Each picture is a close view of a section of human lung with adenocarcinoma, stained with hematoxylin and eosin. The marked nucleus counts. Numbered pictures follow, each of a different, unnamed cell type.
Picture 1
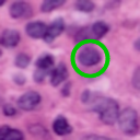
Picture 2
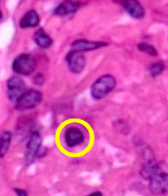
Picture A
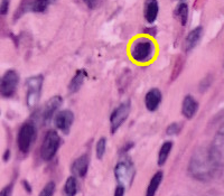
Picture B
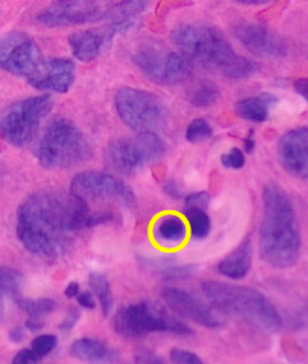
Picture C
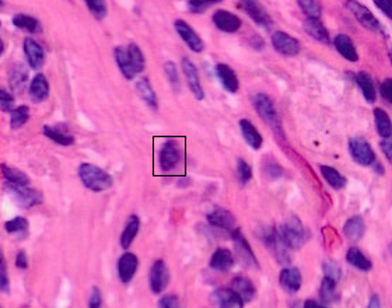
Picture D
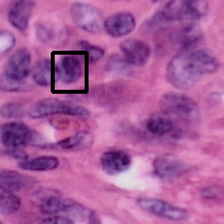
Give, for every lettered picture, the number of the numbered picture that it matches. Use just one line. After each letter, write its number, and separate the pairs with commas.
A 2, B 1, C 2, D 1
